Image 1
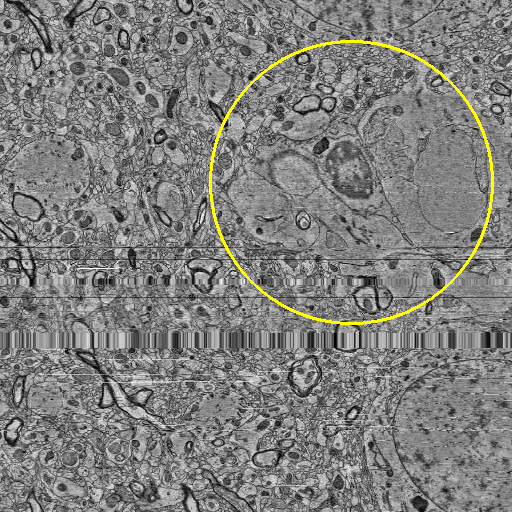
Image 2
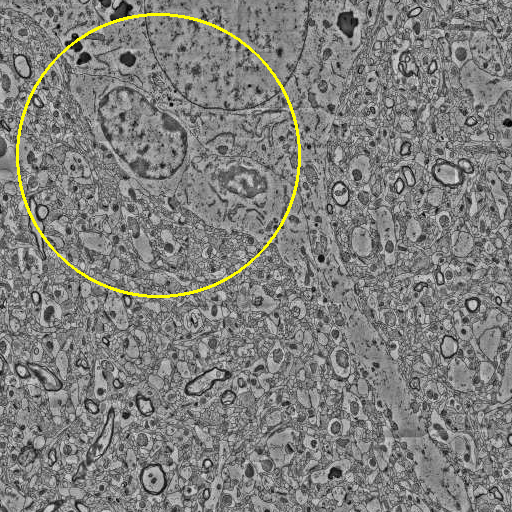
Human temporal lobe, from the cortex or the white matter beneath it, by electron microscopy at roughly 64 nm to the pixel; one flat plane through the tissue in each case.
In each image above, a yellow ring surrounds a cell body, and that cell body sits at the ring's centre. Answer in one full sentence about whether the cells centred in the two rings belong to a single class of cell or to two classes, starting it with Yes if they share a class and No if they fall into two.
Yes, the cells centred in the two yellow rings belong to a single class of cell.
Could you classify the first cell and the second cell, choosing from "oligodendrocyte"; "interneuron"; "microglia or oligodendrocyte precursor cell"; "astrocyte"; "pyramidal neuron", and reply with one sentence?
Both cells are the same kind, each one being a microglial cell or oligodendrocyte precursor cell.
